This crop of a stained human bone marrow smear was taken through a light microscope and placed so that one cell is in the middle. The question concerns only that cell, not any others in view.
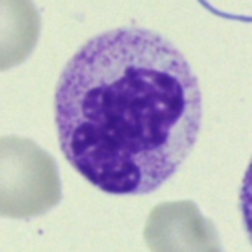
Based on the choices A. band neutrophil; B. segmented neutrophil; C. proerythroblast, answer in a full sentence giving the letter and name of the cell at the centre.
Well, the cell in the middle is a segmented neutrophil, making option B right.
